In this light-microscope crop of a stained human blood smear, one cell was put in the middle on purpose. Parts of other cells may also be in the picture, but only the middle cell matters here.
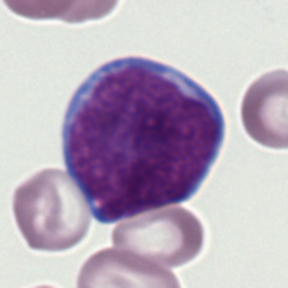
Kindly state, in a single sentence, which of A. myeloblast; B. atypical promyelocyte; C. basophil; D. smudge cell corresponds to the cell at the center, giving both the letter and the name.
Of the choices given, option A is right, as the central cell is a myeloblast.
